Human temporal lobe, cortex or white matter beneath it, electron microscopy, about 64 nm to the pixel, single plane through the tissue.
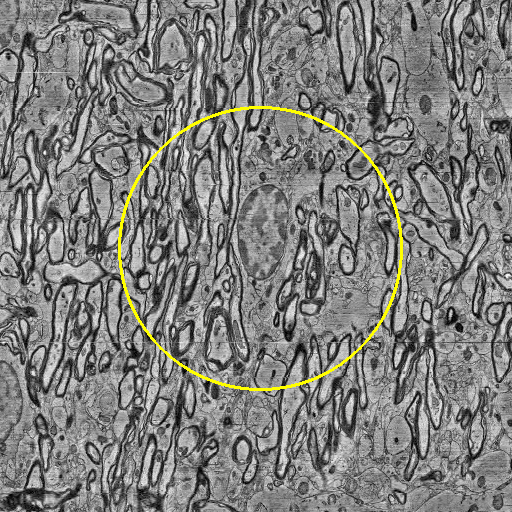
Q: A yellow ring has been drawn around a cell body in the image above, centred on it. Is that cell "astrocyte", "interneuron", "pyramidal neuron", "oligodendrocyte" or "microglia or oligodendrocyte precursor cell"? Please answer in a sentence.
The ring surrounds the cell body of a microglial cell or oligodendrocyte precursor cell.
